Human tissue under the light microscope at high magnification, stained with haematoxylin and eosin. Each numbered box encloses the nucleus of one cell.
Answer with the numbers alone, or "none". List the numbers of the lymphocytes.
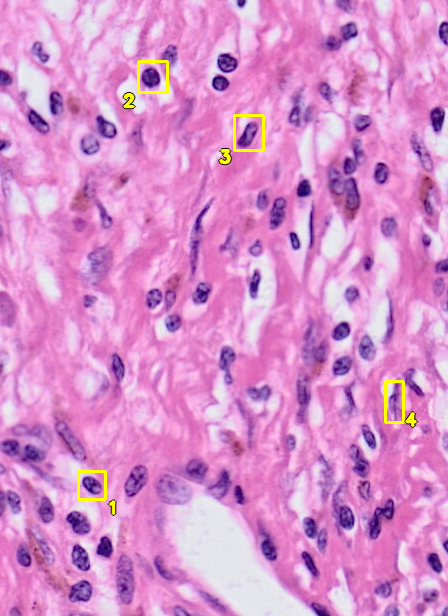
1, 2, 3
